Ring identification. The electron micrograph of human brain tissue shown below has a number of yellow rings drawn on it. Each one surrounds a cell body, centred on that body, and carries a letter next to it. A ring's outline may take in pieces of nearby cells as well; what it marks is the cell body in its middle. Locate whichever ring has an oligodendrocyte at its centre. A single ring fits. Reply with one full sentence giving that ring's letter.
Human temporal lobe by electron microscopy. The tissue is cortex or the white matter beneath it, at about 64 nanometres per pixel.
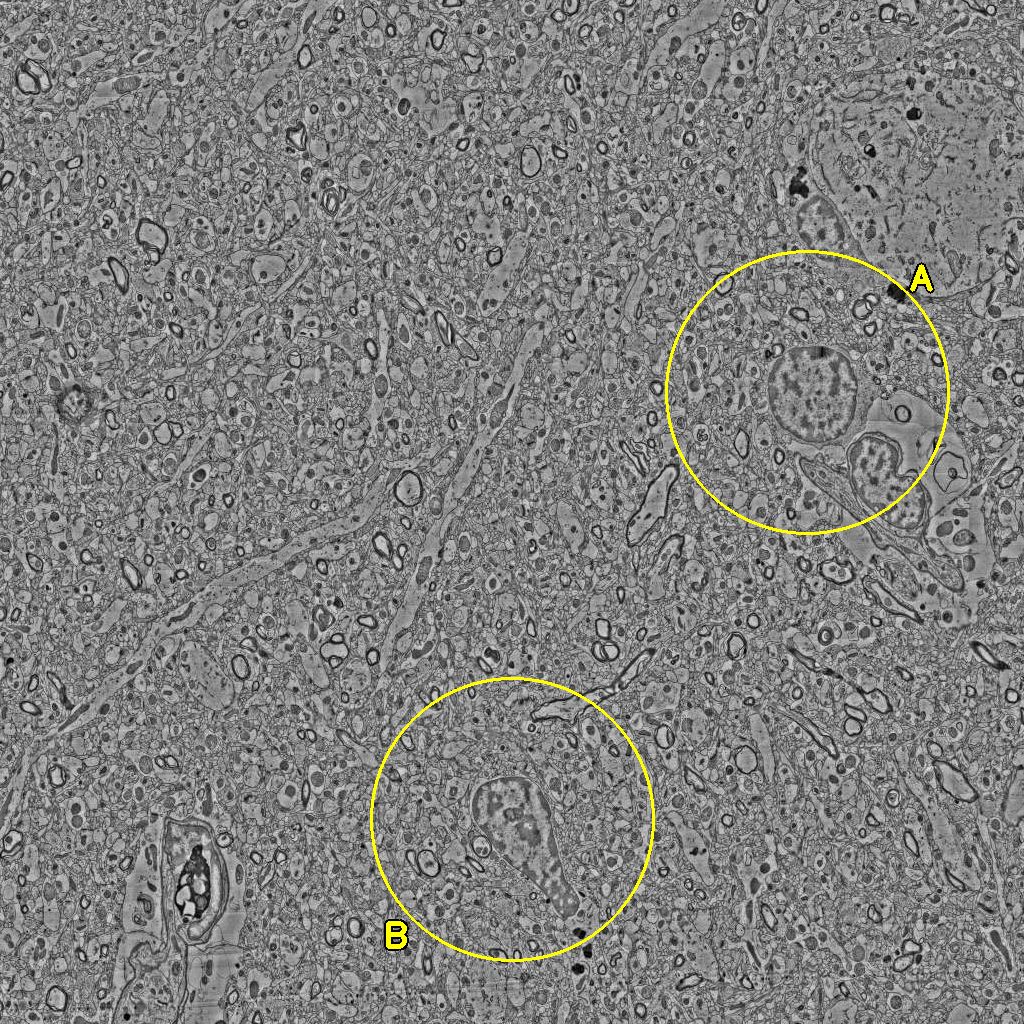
The letter A belongs to the ring centred on a cell of that kind.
